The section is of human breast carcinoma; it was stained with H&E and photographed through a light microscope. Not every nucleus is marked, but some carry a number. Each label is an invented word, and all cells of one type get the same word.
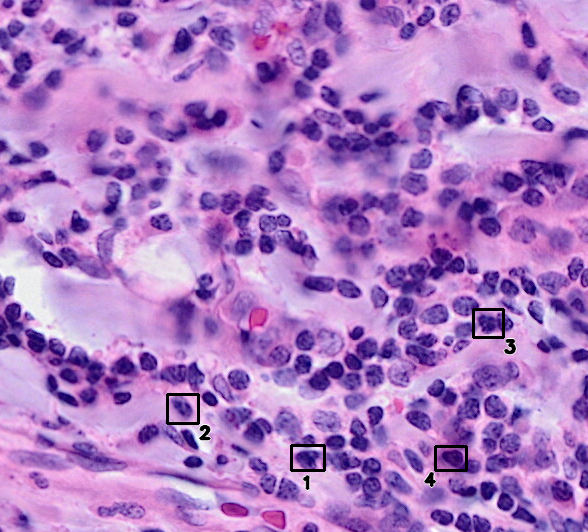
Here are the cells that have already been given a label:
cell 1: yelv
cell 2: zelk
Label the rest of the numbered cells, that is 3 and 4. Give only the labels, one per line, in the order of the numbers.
yelv
yelv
